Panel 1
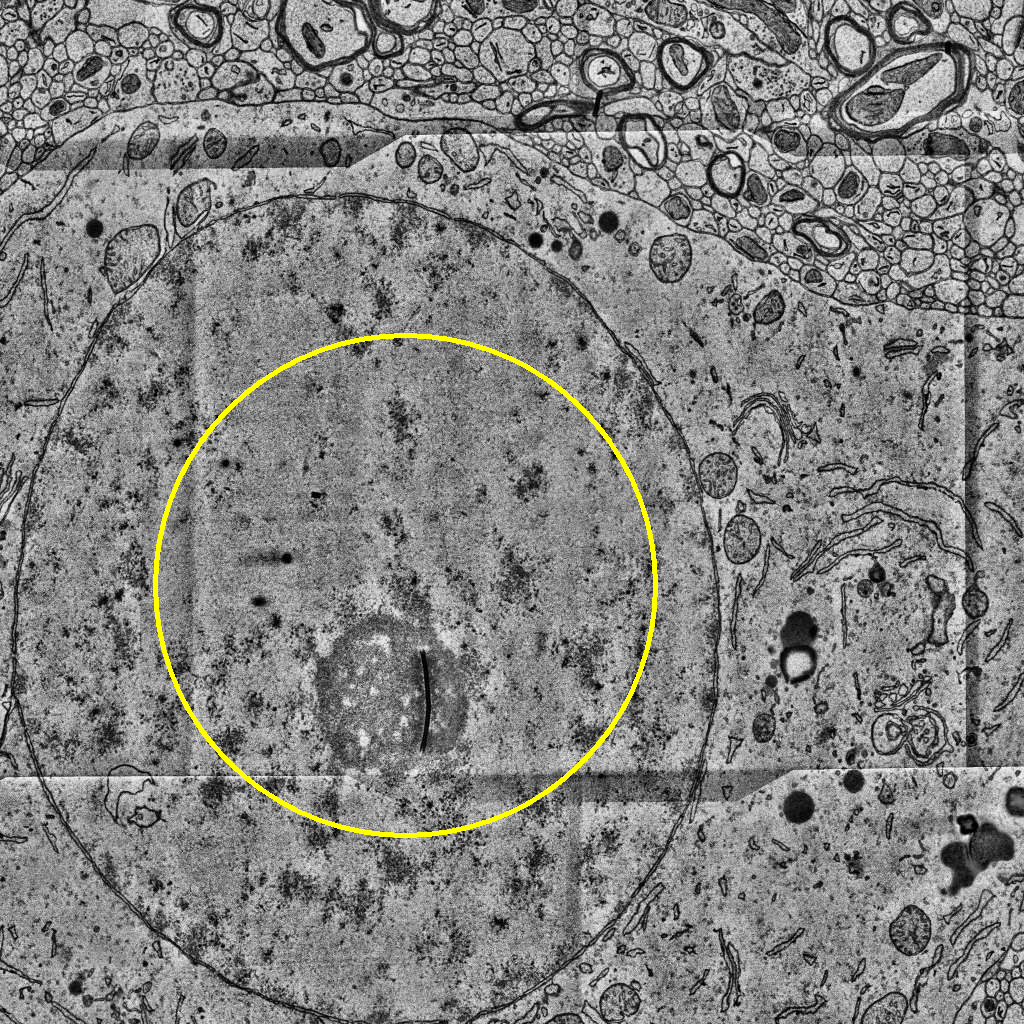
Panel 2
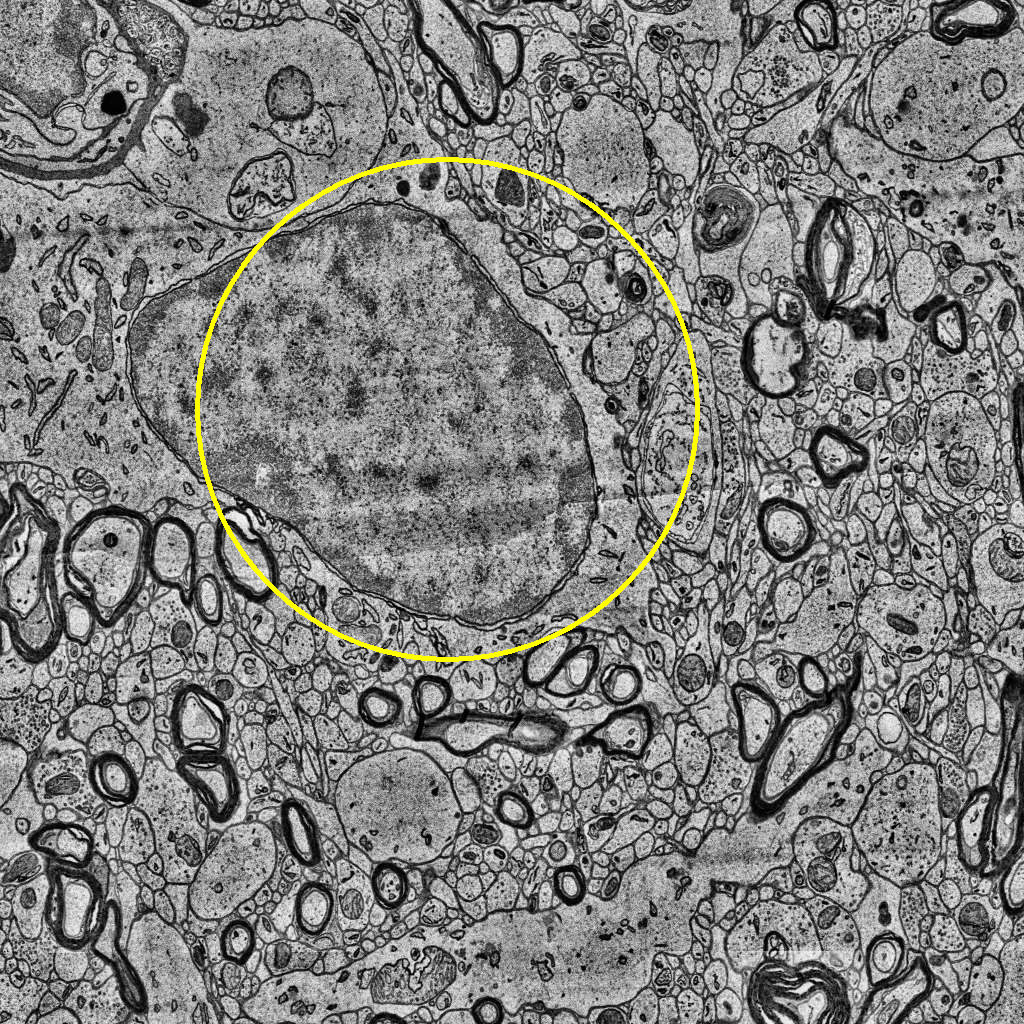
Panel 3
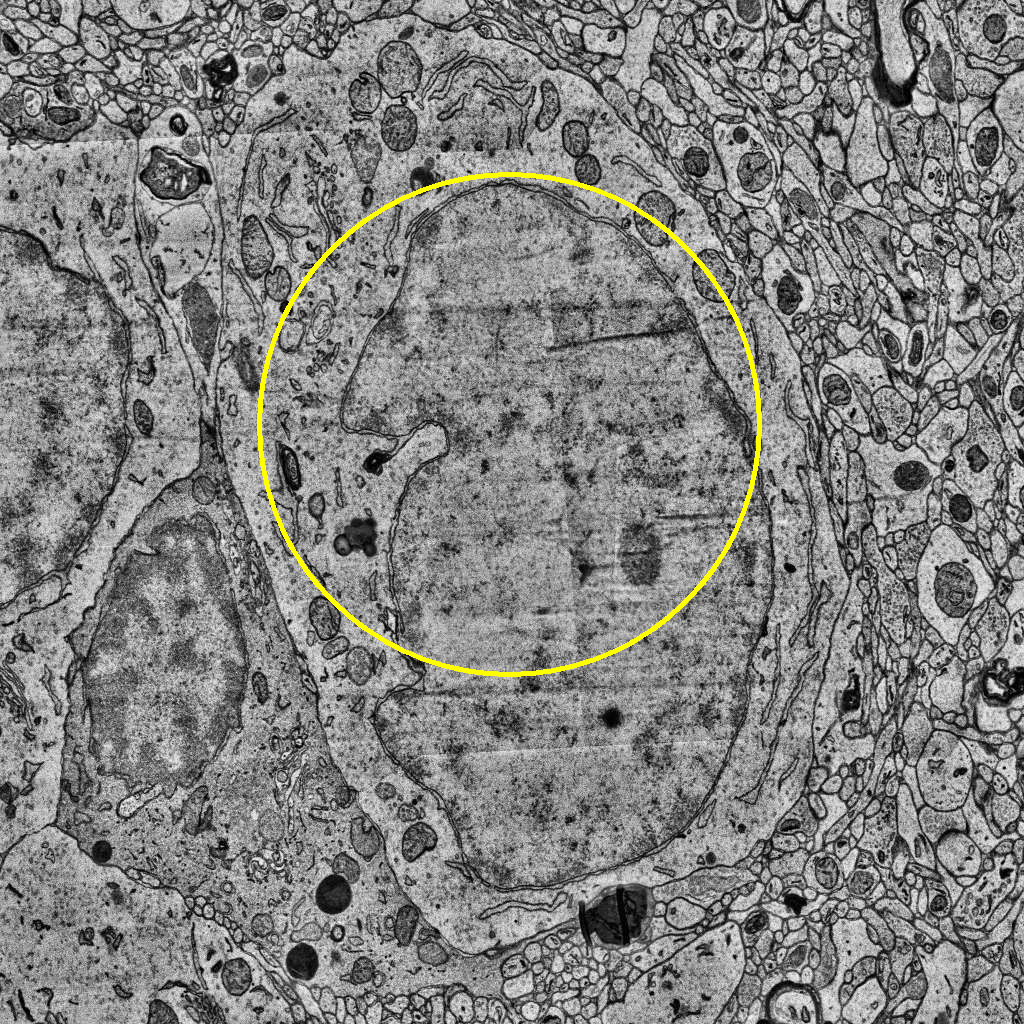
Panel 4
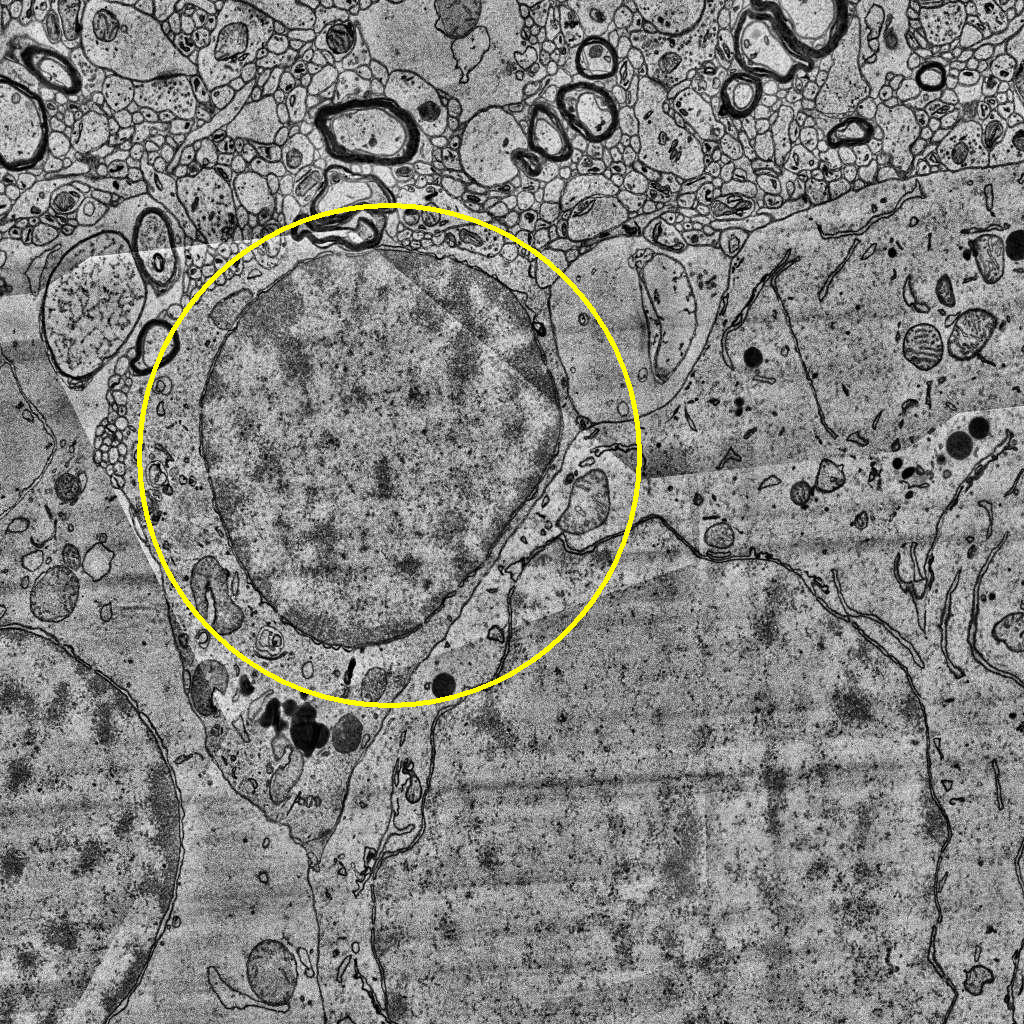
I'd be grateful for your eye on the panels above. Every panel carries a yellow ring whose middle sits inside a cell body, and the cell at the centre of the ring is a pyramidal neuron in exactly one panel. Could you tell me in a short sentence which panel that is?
Panel 1 is the one with it at the centre of the ring.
